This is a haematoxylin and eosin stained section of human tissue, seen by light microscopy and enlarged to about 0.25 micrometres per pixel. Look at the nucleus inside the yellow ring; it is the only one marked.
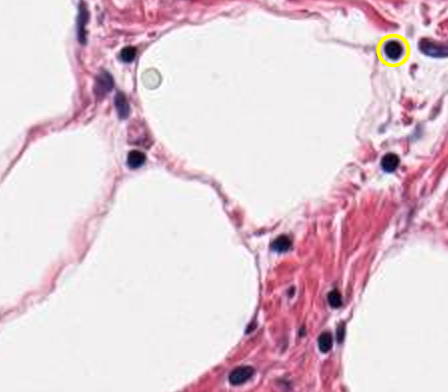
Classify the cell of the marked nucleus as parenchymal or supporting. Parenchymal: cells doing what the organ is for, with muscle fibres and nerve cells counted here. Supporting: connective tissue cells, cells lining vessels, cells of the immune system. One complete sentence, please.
Located within a supporting cell is the nucleus that has been marked.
